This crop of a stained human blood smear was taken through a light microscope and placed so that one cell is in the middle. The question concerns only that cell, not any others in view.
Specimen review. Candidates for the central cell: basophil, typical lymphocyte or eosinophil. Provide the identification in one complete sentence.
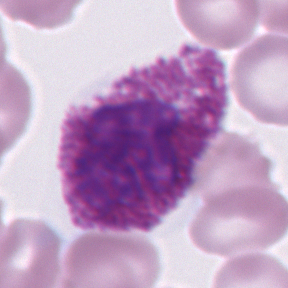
The centered cell in this crop is an eosinophil.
